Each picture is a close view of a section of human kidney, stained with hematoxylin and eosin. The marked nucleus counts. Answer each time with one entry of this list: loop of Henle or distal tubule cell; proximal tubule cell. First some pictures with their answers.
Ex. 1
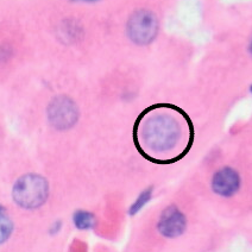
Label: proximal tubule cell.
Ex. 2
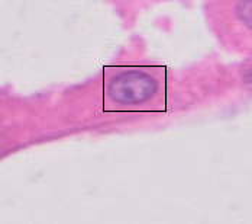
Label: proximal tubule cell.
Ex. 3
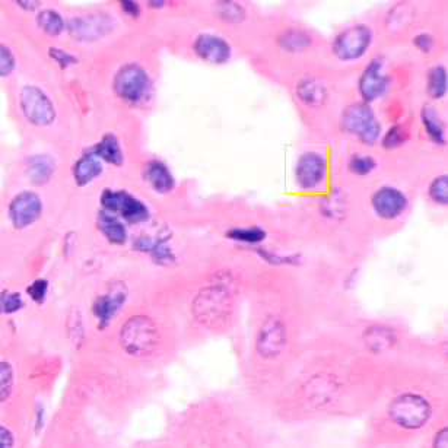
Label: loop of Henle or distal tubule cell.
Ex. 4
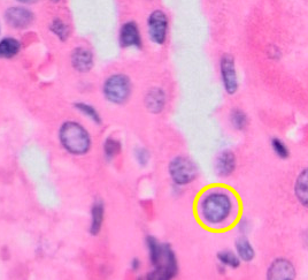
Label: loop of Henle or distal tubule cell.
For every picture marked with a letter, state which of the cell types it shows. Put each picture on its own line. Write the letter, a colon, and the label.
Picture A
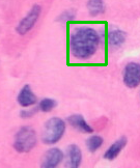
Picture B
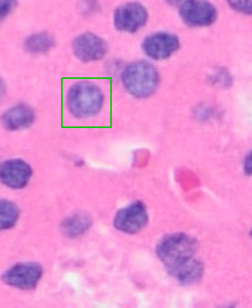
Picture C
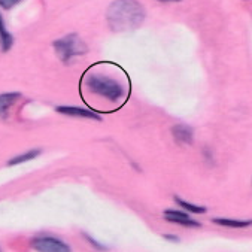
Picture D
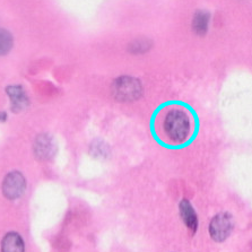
A: loop of Henle or distal tubule cell.
B: loop of Henle or distal tubule cell.
C: loop of Henle or distal tubule cell.
D: proximal tubule cell.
